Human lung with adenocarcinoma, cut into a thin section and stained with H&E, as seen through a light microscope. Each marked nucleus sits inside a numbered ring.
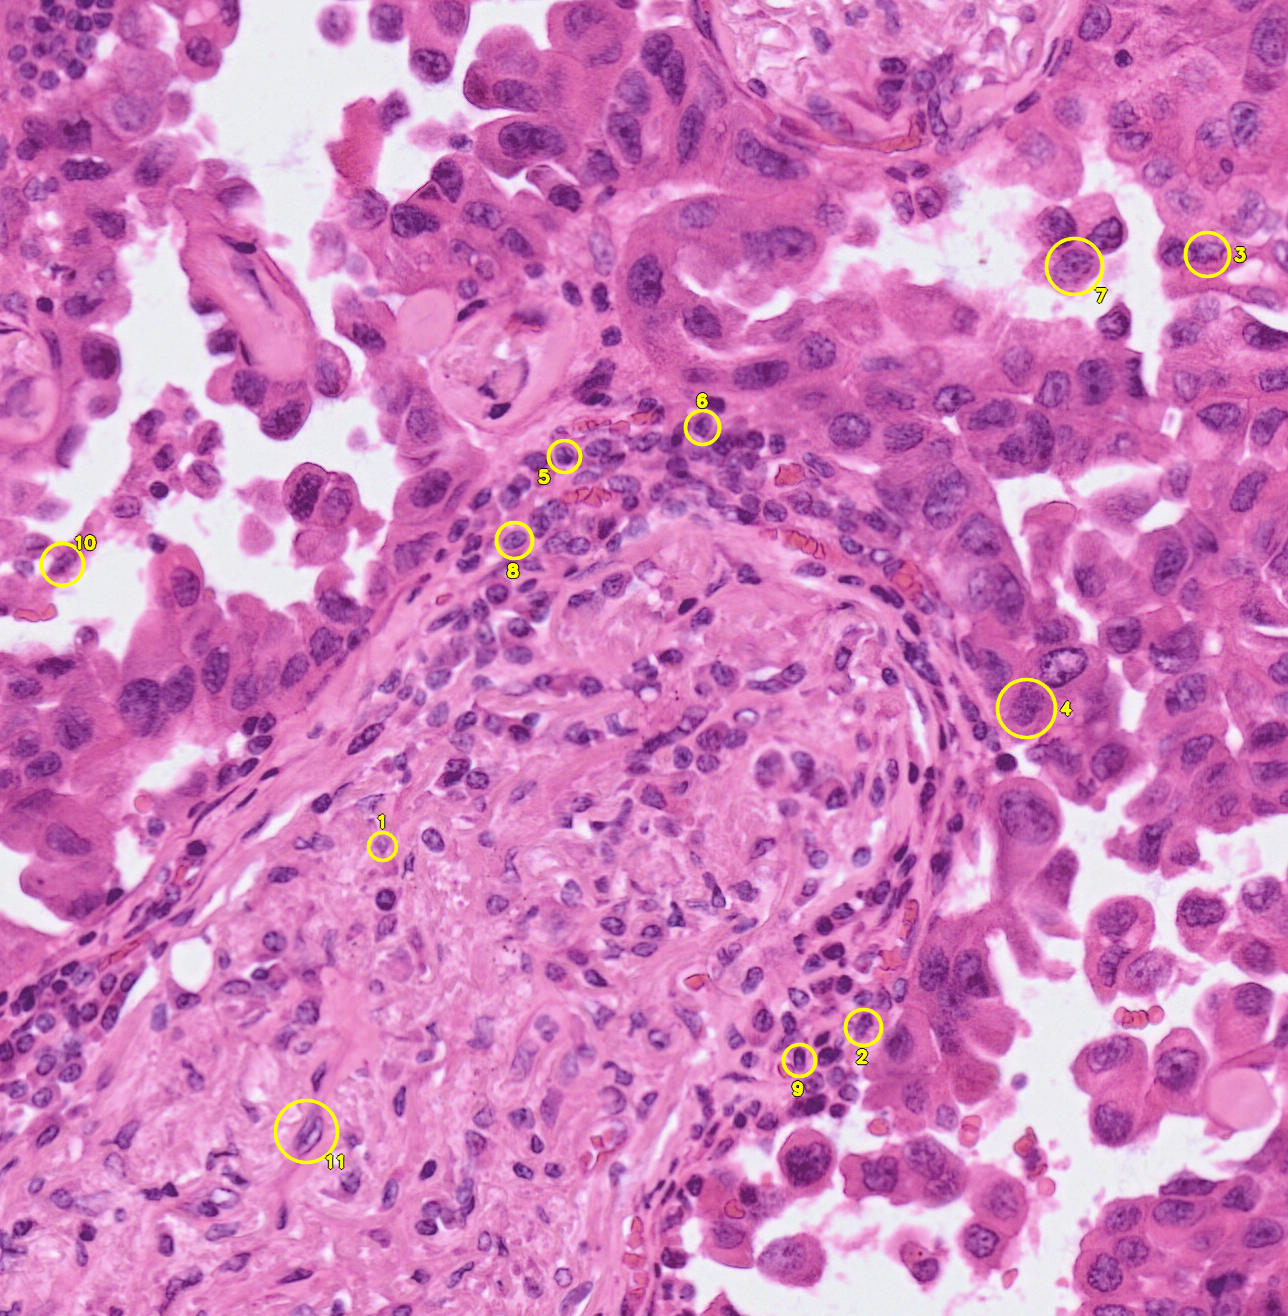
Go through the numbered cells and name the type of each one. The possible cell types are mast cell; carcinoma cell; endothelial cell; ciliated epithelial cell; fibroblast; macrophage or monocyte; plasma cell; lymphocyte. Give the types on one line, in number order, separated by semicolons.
plasma cell; lymphocyte; carcinoma cell; carcinoma cell; lymphocyte; lymphocyte; carcinoma cell; mast cell; lymphocyte; macrophage or monocyte; endothelial cell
